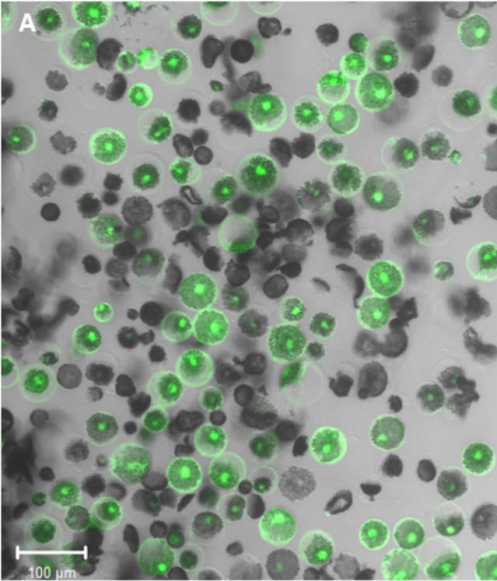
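A wide field of many free, separate round cells of varied size lies scattered over a pale background. Many of the spheres glow green, often with a brighter green spot near the middle and a greenish rim, while others are dark, shrunken, crumpled or fragmented debris. The intact spheres have smooth round outlines with no angular walls.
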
